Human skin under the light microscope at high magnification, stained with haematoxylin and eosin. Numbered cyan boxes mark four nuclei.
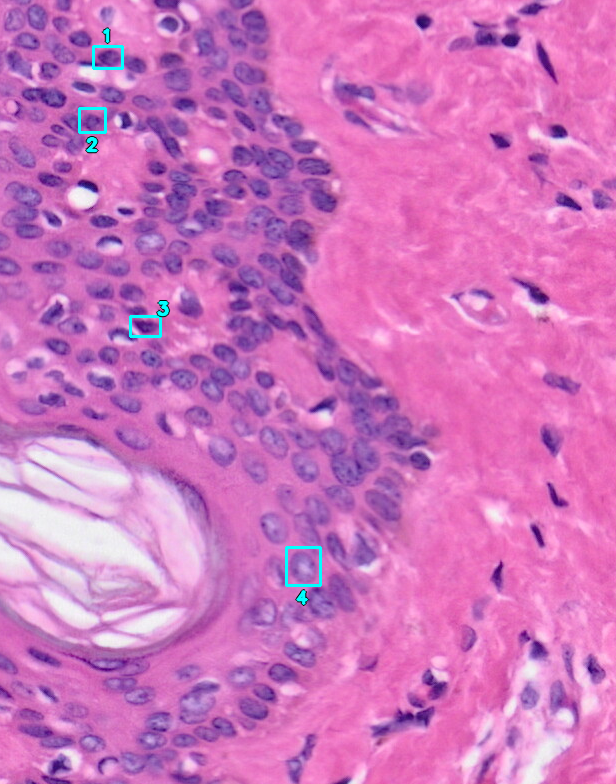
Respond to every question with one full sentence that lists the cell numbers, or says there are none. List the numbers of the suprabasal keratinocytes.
Among the numbered nuclei, only the one labelled 4 belongs to a suprabasal keratinocyte.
